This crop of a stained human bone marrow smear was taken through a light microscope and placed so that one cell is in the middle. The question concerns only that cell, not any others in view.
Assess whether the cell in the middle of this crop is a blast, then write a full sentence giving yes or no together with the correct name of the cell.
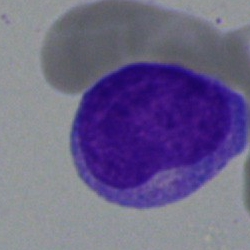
Yes, the one cell at the centre is a blast.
